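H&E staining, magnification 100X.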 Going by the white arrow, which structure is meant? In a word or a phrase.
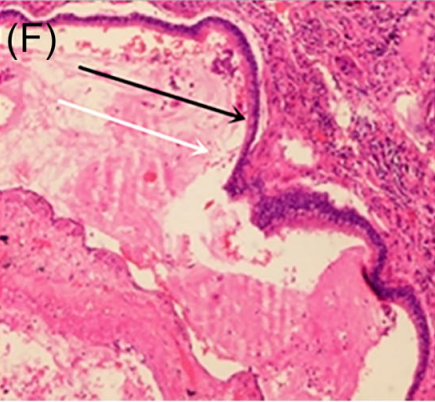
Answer: the mucus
